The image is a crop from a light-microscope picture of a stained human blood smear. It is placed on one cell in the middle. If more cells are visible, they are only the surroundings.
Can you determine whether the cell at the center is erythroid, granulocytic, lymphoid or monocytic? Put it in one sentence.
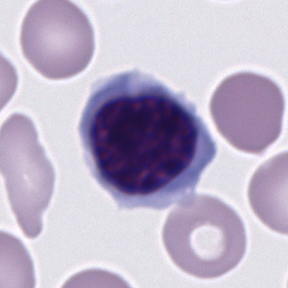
In this crop the cell in the center is part of the erythroid lineage.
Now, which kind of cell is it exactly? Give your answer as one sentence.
The cell centred in this crop is categorized as a normoblast.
